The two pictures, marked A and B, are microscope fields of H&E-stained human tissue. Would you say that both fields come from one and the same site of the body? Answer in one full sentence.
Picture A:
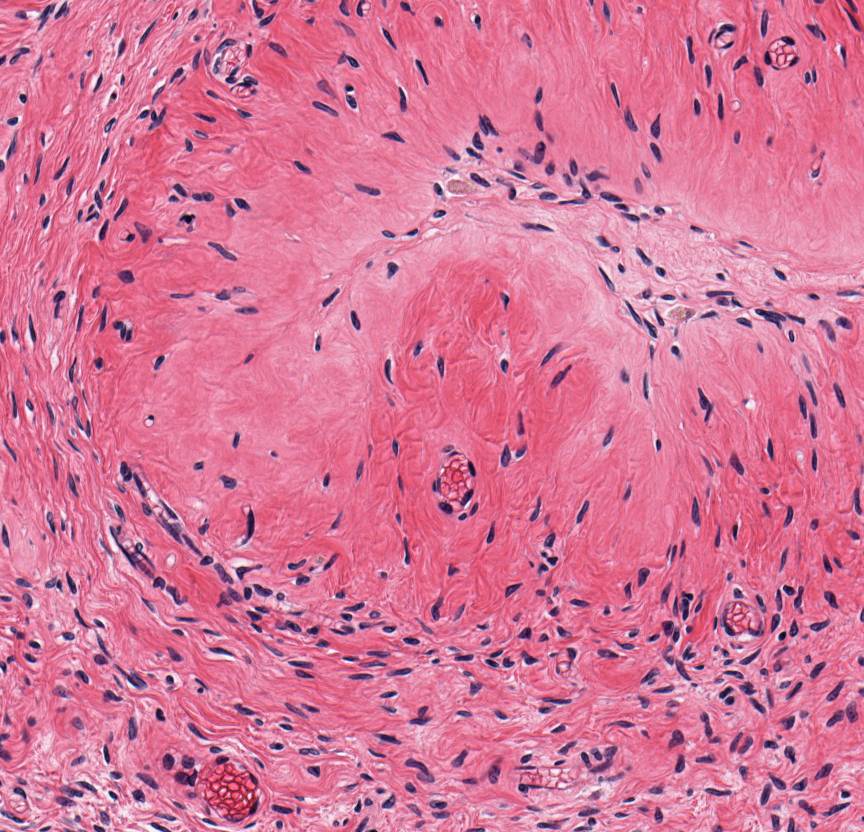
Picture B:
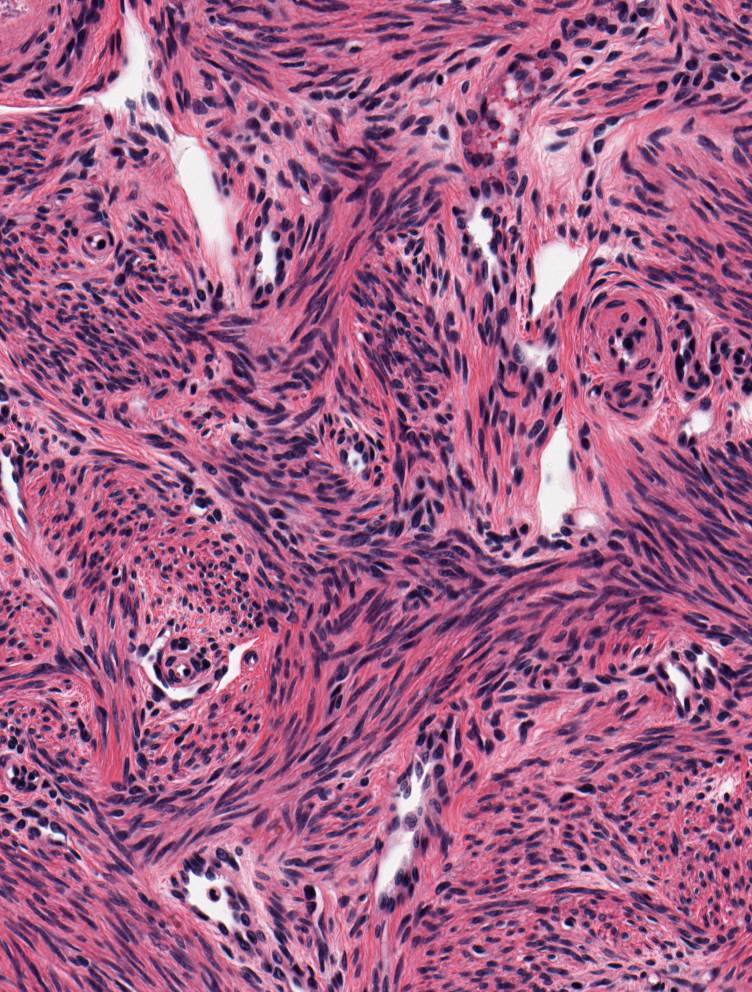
No, picture A comes from the ovary and picture B comes from the body of the uterus.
